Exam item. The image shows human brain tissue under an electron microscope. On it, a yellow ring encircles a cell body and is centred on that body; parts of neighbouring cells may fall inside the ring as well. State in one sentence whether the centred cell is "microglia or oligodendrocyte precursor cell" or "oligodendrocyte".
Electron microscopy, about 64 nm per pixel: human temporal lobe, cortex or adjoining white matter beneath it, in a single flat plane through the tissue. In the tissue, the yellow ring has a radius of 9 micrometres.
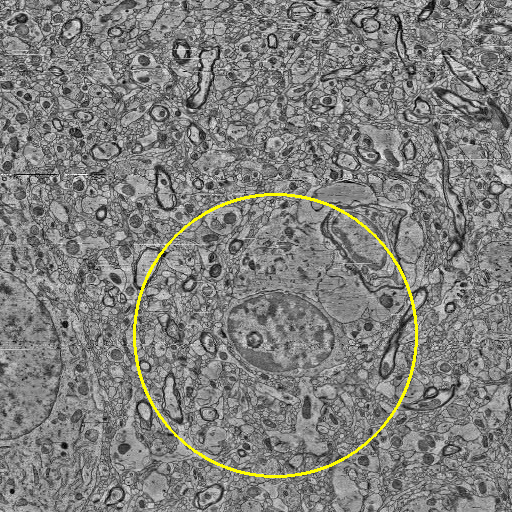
The cell body centred in the ring is an oligodendrocyte.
